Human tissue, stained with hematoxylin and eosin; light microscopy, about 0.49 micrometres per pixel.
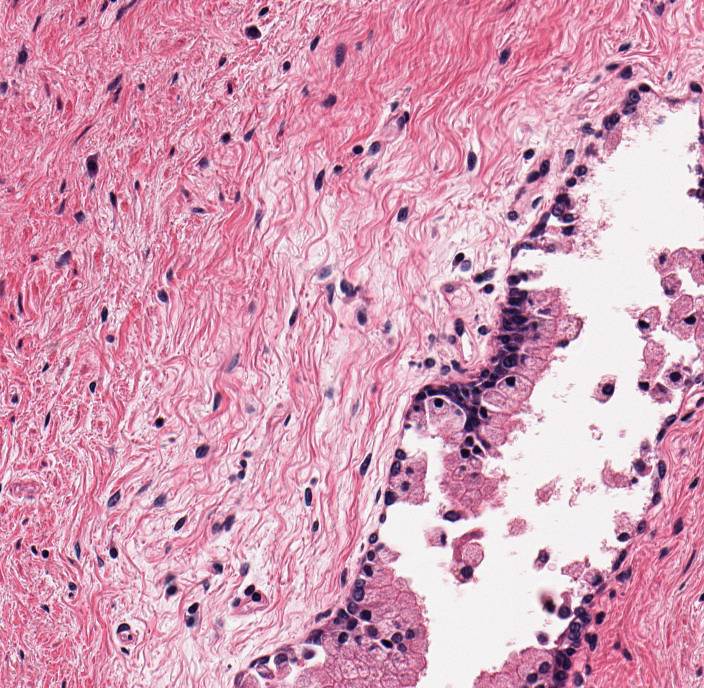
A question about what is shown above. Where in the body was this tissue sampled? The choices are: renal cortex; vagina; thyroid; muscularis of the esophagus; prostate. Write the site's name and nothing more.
prostate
